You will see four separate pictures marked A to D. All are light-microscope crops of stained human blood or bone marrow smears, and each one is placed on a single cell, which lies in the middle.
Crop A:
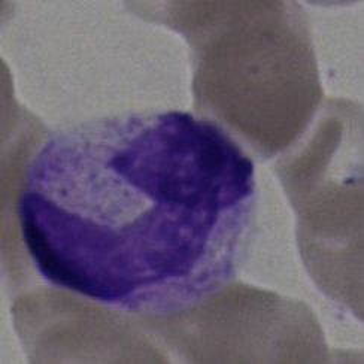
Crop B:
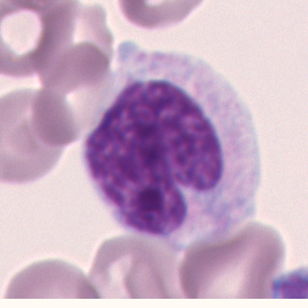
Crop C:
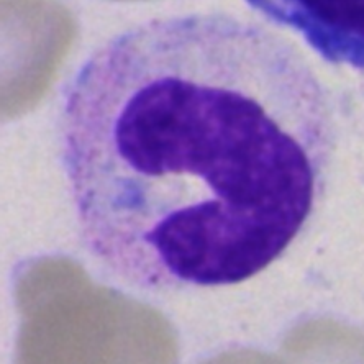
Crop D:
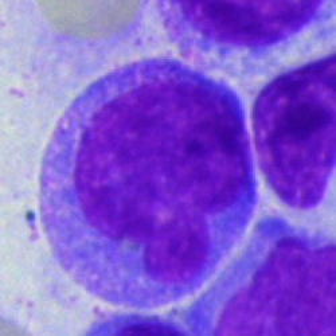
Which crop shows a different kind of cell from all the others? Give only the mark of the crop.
D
